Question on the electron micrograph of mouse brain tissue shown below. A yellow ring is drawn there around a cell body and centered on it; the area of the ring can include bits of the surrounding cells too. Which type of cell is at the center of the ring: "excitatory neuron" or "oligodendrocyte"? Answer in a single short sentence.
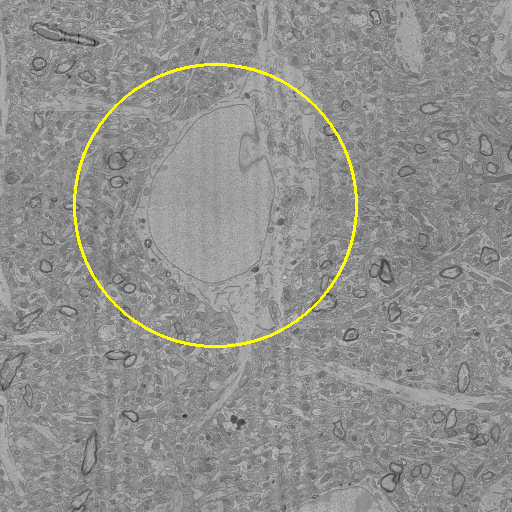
The ring is centered on an excitatory neuron.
